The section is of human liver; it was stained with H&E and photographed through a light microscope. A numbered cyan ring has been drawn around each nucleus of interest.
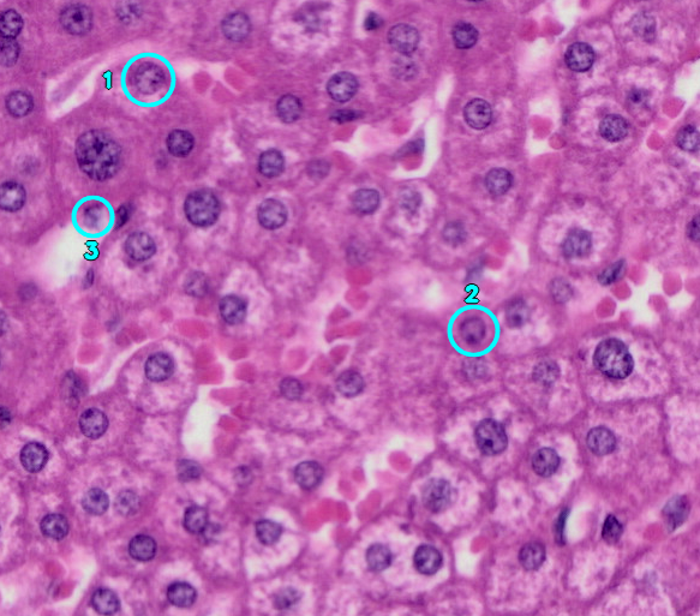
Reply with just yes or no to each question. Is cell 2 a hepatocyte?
yes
